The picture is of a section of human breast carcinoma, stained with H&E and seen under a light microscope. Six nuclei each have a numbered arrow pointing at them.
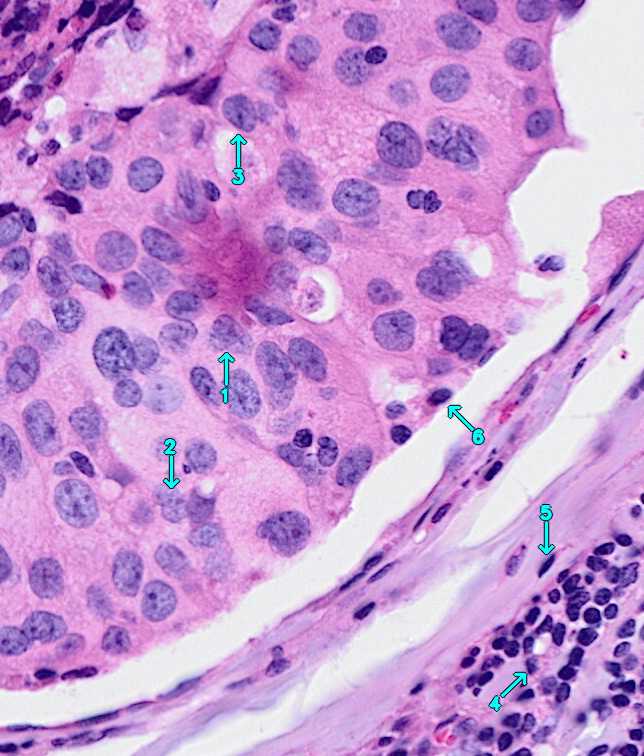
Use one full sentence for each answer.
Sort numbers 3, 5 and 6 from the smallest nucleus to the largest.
From smallest to largest, the order is 5, 6, 3.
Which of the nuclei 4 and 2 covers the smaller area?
Number 4 is smaller, since number 2 takes up about 3 times as much area.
